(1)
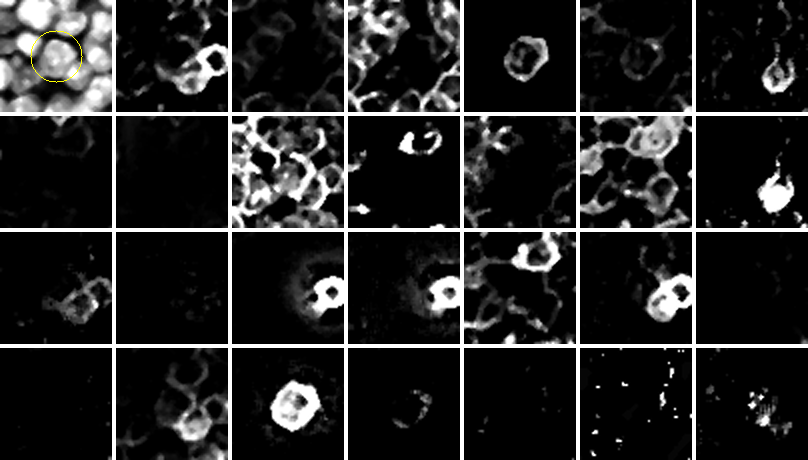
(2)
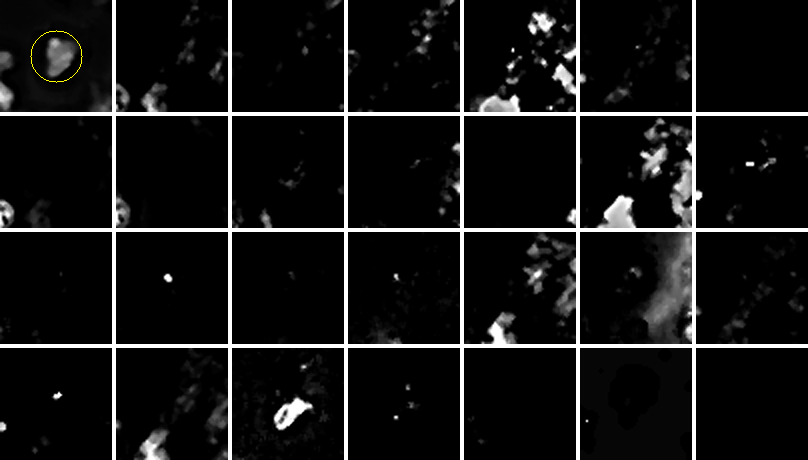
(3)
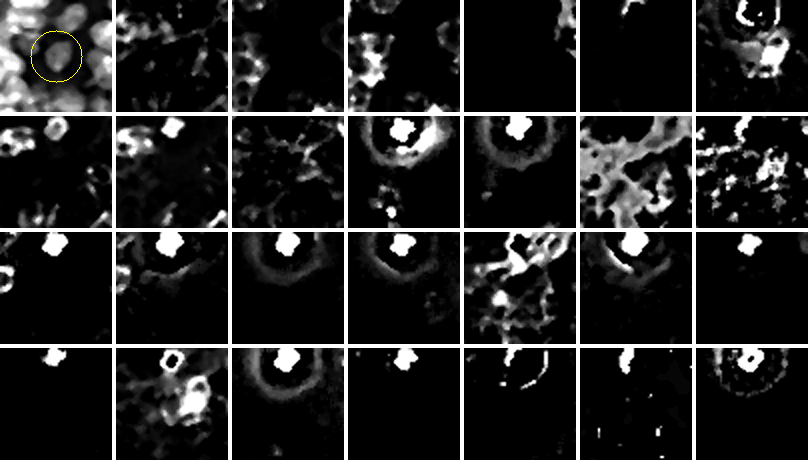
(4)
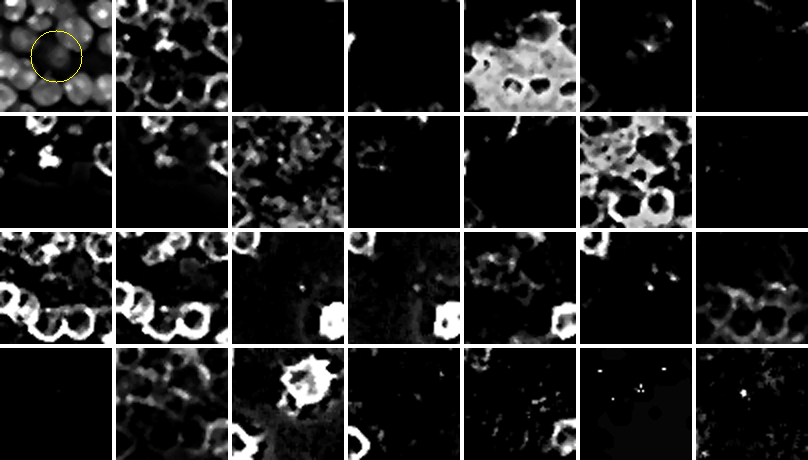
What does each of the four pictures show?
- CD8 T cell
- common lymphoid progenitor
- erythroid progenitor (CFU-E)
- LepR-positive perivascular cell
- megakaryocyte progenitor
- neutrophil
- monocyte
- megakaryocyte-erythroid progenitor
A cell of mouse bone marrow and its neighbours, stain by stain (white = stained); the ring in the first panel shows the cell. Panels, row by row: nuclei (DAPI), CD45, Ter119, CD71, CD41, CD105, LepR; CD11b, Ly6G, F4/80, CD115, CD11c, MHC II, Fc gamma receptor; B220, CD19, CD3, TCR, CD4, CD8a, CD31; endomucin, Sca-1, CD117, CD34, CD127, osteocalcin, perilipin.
1: megakaryocyte-erythroid progenitor
2: megakaryocyte-erythroid progenitor
3: LepR-positive perivascular cell
4: megakaryocyte progenitor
